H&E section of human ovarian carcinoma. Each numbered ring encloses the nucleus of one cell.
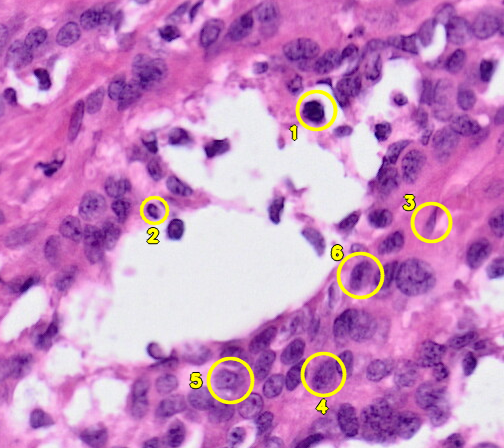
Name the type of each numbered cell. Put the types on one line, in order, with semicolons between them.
carcinoma cell; macrophage or monocyte; endothelial cell; carcinoma cell; carcinoma cell; carcinoma cell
